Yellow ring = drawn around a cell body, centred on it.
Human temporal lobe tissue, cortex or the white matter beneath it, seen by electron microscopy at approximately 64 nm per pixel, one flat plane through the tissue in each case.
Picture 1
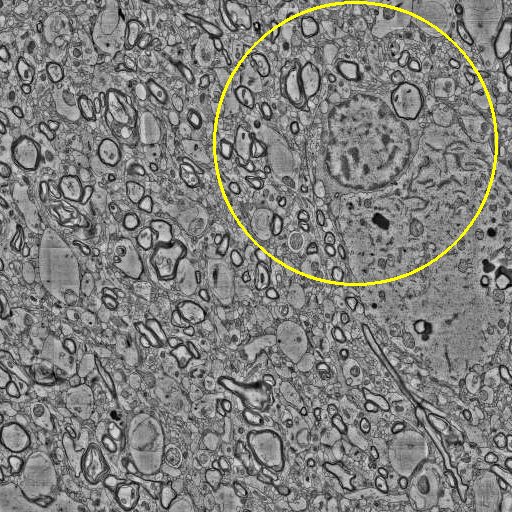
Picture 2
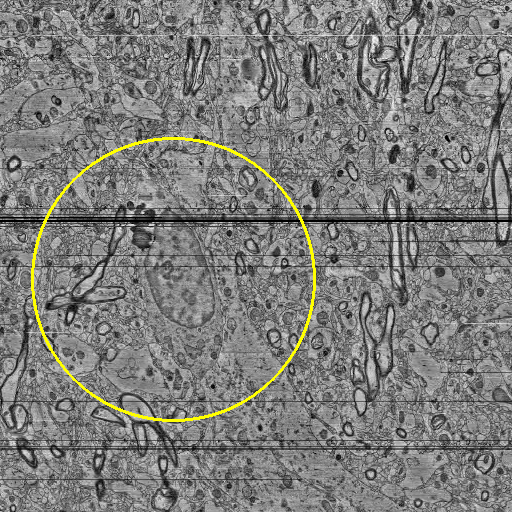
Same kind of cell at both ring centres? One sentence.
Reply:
Yes, they are the same kind of cell.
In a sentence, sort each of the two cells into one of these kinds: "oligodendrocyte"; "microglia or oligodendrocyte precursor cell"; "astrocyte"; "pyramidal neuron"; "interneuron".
Each of the two rings is centred on an oligodendrocyte.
